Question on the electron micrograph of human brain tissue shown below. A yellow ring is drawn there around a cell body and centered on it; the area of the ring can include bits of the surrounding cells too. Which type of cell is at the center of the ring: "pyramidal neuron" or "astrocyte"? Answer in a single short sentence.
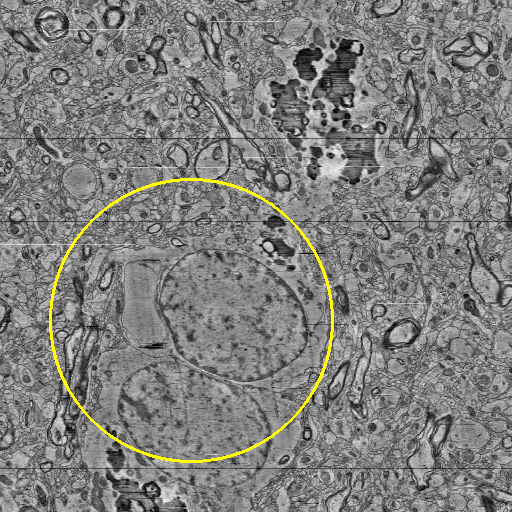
The ring is centered on an astrocyte.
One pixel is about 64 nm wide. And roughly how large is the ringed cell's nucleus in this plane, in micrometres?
Roughly 10 micrometres by 8 micrometres, in this plane.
